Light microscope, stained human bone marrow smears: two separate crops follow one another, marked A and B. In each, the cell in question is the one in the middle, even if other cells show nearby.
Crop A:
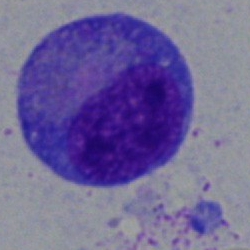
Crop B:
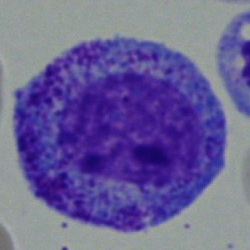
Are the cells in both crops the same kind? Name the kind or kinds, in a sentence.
Yes, the cells at the centres of the two crops are promyelocytes.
